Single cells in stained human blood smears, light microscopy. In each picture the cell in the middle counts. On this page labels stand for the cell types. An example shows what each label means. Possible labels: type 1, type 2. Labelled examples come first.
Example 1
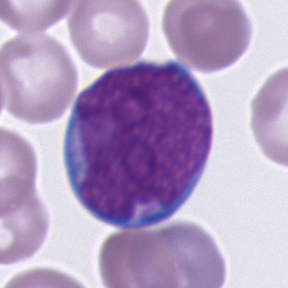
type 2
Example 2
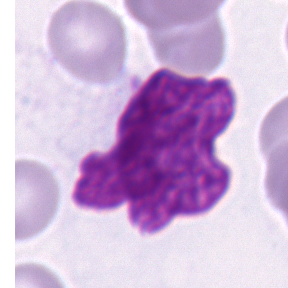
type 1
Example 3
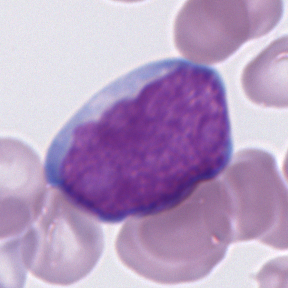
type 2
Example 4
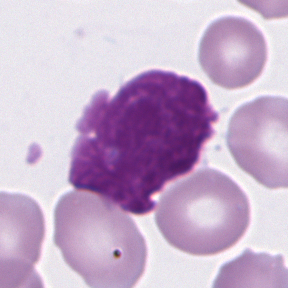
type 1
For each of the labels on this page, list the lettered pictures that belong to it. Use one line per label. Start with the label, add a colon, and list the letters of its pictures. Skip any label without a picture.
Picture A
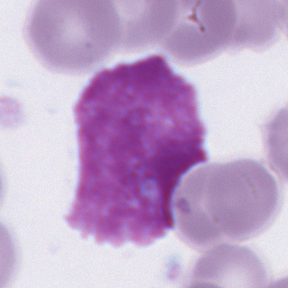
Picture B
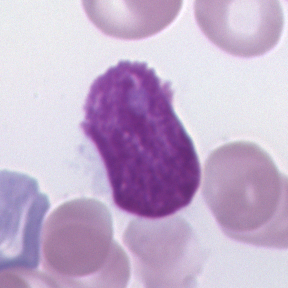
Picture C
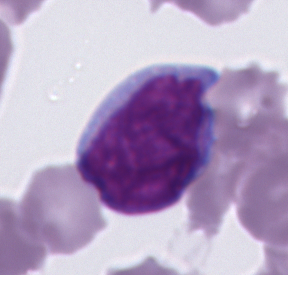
type 1: A, B
type 2: C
